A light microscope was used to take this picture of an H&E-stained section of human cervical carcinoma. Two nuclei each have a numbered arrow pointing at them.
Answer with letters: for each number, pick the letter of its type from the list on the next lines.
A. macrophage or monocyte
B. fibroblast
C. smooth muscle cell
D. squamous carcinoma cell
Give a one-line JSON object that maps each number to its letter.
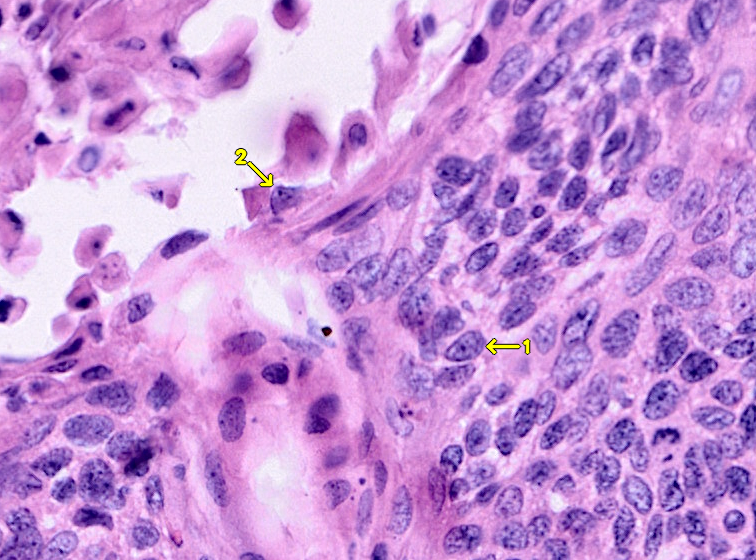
{"1": "D", "2": "A"}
